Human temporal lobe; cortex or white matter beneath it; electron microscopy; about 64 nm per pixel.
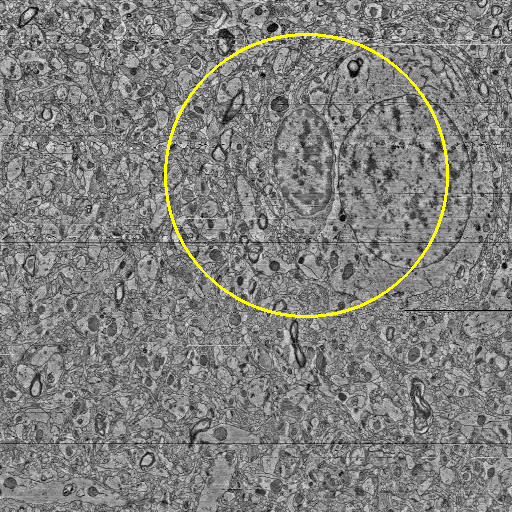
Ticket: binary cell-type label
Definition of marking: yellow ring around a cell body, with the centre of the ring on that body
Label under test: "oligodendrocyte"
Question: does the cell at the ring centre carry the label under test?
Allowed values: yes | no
yes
